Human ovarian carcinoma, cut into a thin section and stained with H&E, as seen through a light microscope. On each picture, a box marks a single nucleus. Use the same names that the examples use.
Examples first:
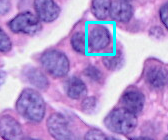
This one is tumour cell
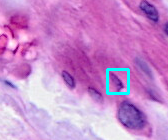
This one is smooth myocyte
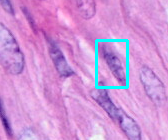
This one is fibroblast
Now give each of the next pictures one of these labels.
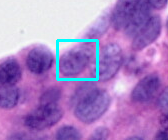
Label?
tumour cell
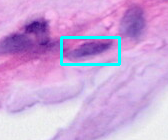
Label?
smooth myocyte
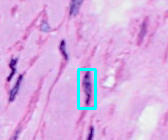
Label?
fibroblast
